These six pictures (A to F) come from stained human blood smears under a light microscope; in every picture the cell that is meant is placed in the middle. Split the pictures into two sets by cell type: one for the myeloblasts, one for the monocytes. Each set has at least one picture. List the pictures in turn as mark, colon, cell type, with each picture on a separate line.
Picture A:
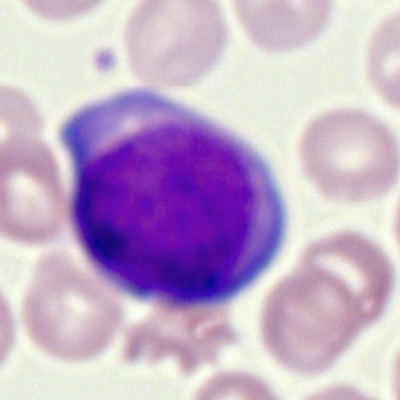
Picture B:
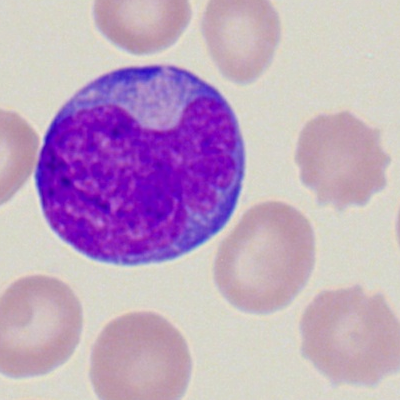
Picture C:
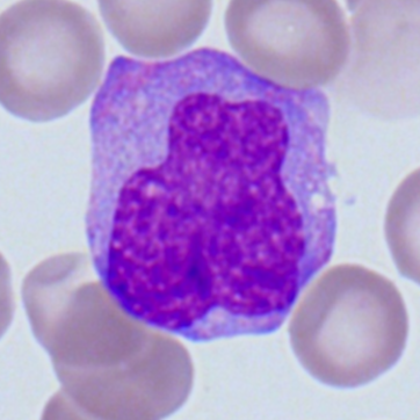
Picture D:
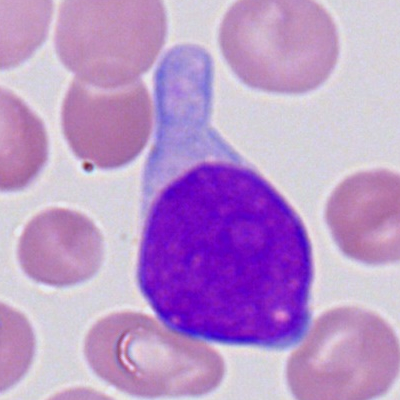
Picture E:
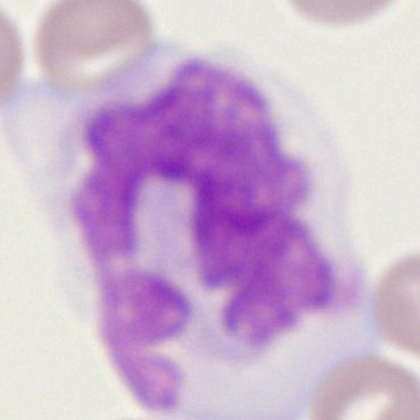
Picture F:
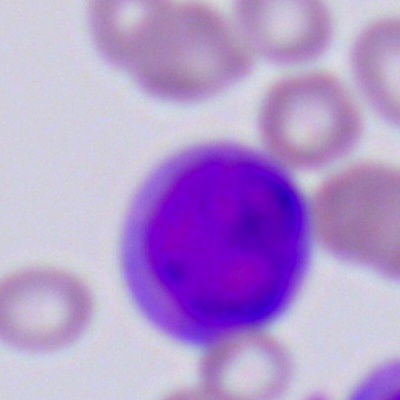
A: myeloblast
B: myeloblast
C: monocyte
D: myeloblast
E: monocyte
F: myeloblast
